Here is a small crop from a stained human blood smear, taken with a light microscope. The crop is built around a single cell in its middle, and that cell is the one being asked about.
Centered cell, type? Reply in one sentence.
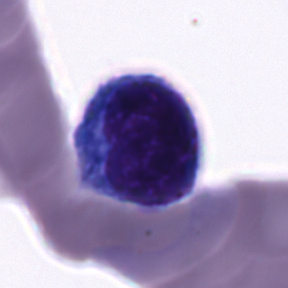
The cell nearest the centre of this crop is a plasma cell.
